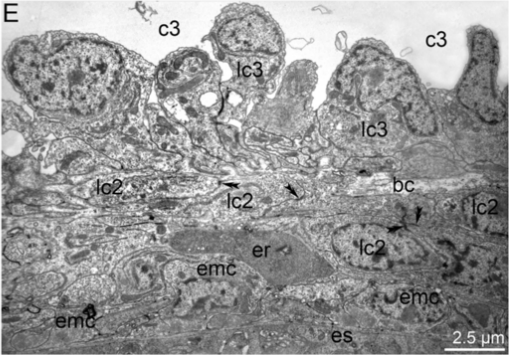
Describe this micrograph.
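This layered wall separates a pale body cavity above from the esophagus below. Along the top, rounded lining cells of the metacoel with large nuclei bulge into the cavity, and beneath them lie flattened, elongated cells of the mesocoel lining in two thin layers joined by small dense contacts. Lower down, an erythrocyte lies among the muscle cells of the esophagus, which form the vessel's inner lining.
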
